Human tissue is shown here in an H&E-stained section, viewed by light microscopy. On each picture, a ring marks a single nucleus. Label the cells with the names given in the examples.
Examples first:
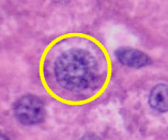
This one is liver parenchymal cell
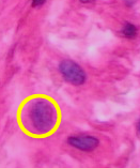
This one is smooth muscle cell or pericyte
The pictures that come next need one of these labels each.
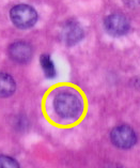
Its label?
liver parenchymal cell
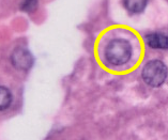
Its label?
liver parenchymal cell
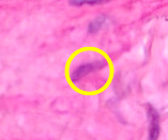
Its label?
smooth muscle cell or pericyte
